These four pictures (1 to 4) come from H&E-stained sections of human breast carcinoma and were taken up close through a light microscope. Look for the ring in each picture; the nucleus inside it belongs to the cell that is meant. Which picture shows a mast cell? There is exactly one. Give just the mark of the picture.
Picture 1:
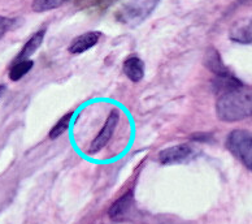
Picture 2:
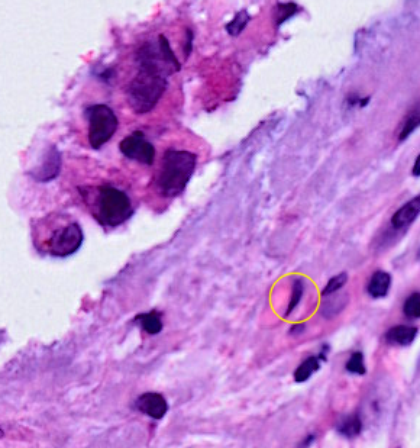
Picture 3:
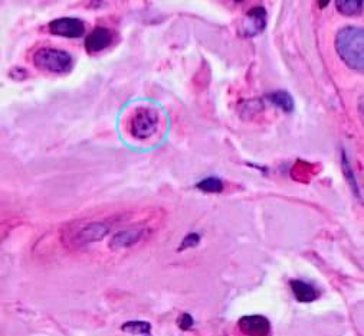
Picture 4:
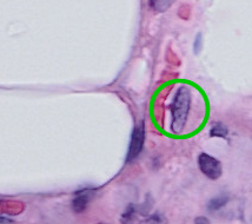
3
